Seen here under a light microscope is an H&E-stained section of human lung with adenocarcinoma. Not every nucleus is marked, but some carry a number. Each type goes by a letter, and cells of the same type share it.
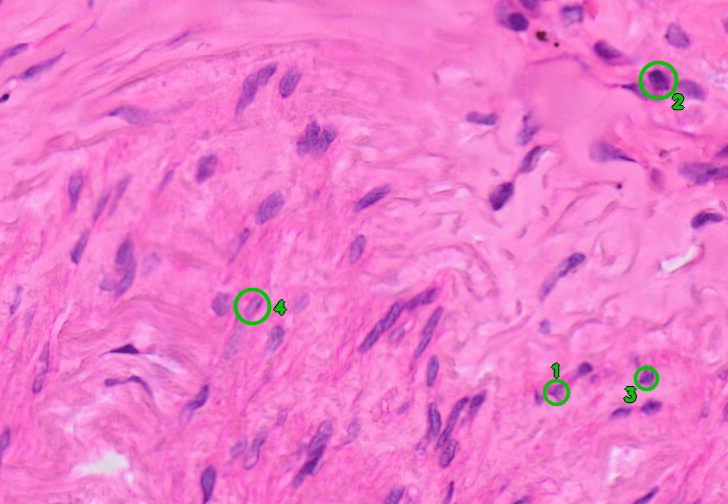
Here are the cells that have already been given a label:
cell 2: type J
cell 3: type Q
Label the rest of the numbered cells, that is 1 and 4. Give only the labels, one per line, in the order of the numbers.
type Q
type Q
